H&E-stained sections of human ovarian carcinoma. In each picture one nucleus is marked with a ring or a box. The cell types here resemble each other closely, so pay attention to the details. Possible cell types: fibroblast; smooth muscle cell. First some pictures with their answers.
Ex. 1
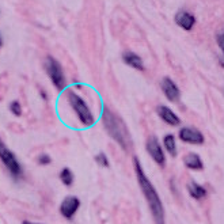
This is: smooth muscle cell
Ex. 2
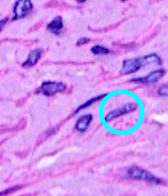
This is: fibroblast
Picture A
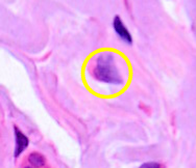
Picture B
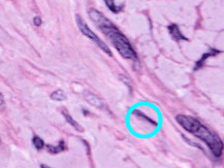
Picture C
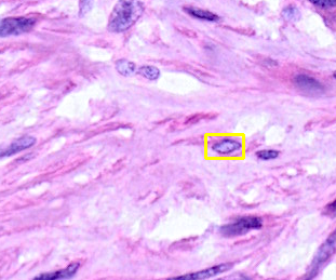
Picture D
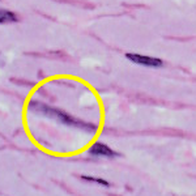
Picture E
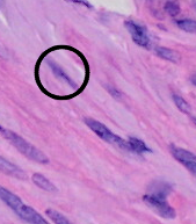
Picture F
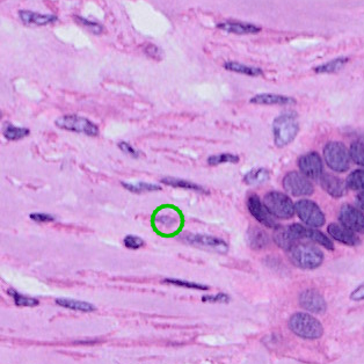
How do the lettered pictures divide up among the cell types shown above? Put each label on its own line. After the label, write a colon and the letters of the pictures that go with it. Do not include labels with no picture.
fibroblast: A, B, C, D, F
smooth muscle cell: E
